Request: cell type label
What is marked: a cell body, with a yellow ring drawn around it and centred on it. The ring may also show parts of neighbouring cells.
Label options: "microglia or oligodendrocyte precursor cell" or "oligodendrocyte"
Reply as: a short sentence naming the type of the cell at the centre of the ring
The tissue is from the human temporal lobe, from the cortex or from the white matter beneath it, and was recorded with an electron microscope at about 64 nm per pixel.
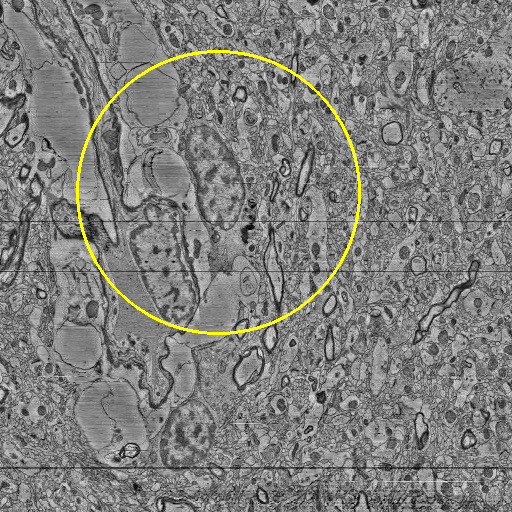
The marked cell body is that of an oligodendrocyte.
